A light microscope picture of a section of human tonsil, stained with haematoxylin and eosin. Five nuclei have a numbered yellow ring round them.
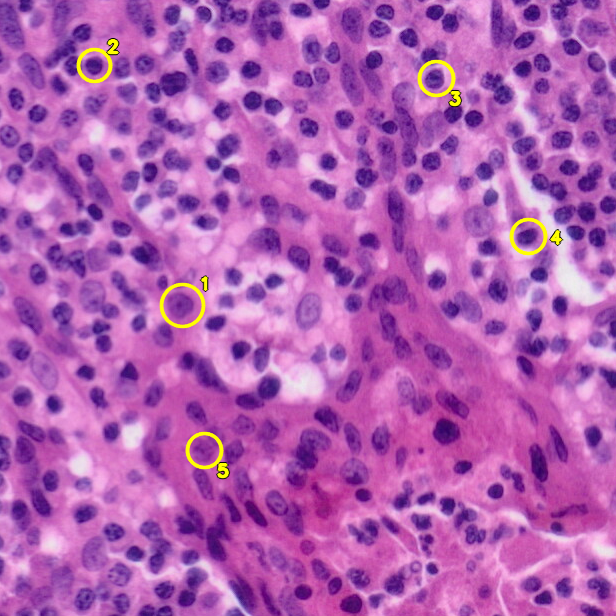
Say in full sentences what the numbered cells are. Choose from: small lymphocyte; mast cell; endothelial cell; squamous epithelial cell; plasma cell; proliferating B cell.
Cell 1 is a squamous epithelial cell, cell 2 is a plasma cell, cell 3 is a plasma cell, cell 4 is a plasma cell and cell 5 is a squamous epithelial cell.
